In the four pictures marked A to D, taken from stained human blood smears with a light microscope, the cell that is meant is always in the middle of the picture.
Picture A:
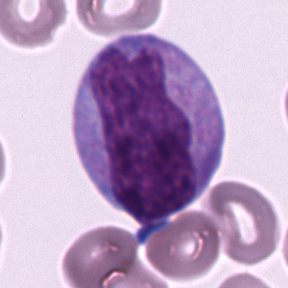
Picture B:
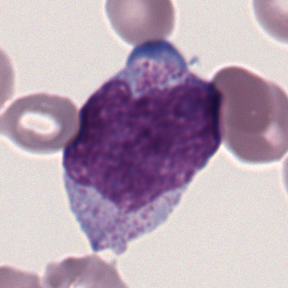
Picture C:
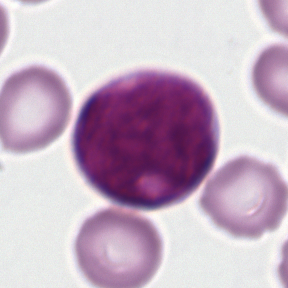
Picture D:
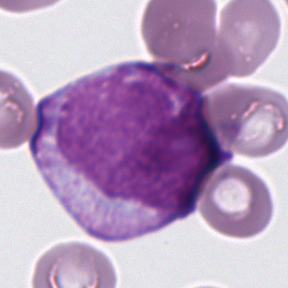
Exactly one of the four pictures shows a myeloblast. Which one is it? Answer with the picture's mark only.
C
